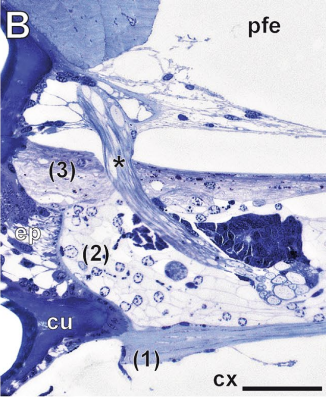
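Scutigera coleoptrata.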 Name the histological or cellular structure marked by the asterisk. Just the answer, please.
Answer: Leg nerve.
